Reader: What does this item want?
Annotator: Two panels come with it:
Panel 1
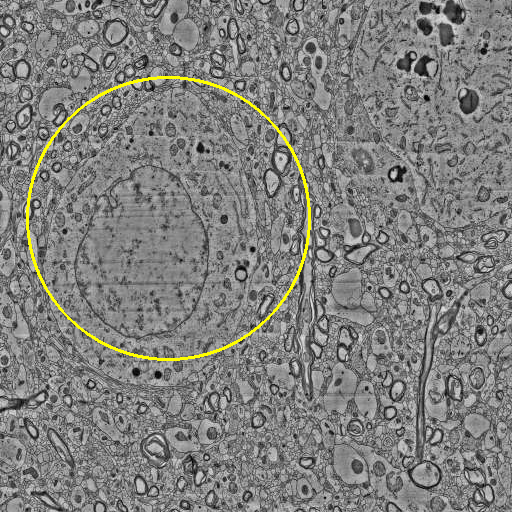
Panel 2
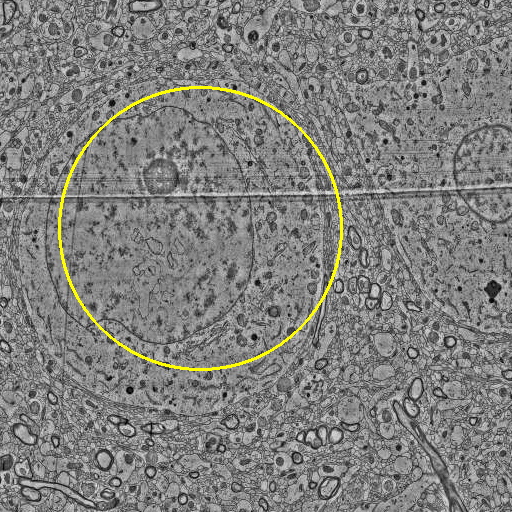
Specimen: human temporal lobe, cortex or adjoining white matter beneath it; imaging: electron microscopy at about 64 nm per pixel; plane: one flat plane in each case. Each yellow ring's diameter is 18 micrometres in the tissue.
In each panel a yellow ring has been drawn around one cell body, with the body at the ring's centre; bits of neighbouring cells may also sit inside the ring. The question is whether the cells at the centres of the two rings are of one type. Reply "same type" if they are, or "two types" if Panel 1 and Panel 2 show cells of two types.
same type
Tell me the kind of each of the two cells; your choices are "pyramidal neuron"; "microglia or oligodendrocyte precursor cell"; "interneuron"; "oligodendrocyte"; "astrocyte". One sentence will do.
In the first picture and in the second, the ring is centred on a pyramidal neuron.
